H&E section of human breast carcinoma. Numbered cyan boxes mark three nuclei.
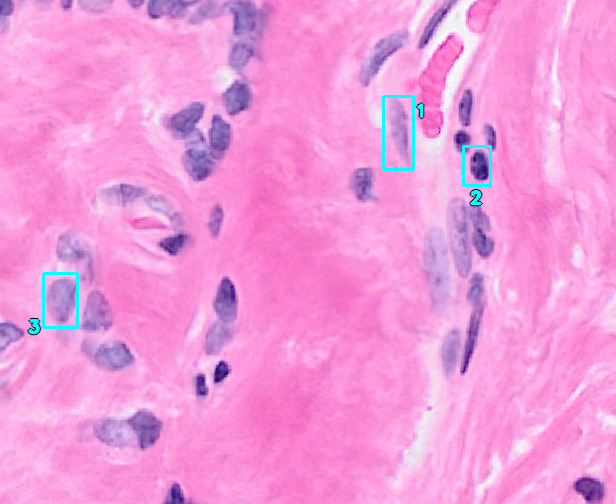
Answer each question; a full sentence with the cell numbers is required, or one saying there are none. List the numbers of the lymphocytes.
The cell labelled 2 is a lymphocyte, while the remaining numbered cells are not.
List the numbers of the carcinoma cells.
Of the cells marked with numbers, cell 3 is the only one that is a carcinoma cell.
